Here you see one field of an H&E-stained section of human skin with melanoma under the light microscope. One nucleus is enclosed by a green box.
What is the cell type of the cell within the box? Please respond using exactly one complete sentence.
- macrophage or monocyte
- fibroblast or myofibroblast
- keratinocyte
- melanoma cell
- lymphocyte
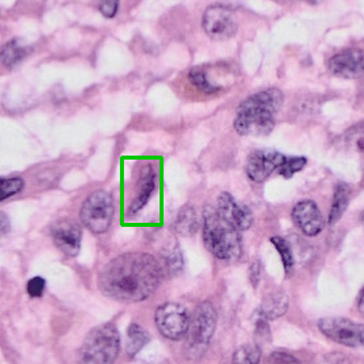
In terms of identity, the cell within the box is a melanoma cell.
